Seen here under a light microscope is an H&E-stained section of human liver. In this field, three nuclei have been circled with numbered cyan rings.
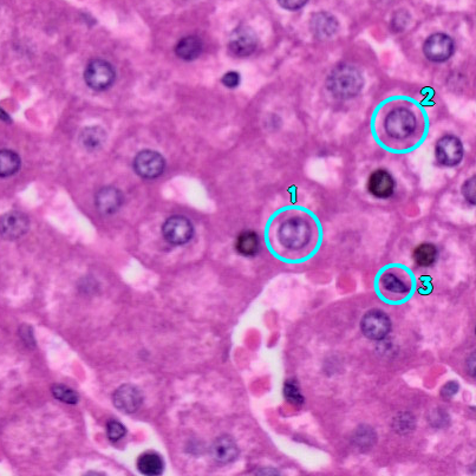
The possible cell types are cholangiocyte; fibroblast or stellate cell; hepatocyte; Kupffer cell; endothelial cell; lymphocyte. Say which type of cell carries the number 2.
hepatocyte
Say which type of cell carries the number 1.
hepatocyte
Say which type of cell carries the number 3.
fibroblast or stellate cell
